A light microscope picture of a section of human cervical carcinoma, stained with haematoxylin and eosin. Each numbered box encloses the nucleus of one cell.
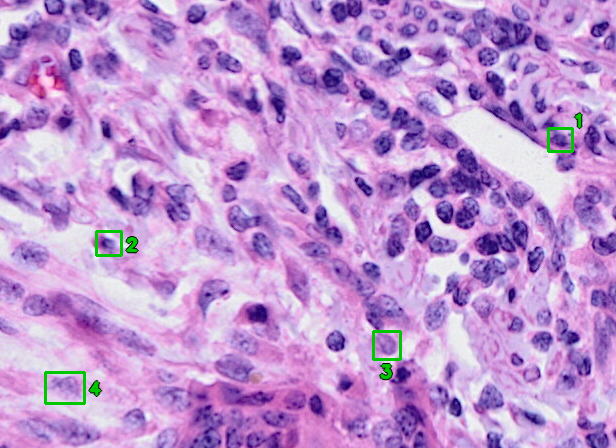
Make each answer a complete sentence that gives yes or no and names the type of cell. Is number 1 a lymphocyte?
Yes, the cell bearing the number 1 is a lymphocyte.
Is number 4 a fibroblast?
Yes, so the cell at label 4 is a fibroblast.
